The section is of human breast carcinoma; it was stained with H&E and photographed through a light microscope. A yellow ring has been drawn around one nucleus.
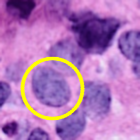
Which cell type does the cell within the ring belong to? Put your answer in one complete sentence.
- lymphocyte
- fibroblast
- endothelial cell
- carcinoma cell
For cell typing purposes, the cell within the ring is a carcinoma cell.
